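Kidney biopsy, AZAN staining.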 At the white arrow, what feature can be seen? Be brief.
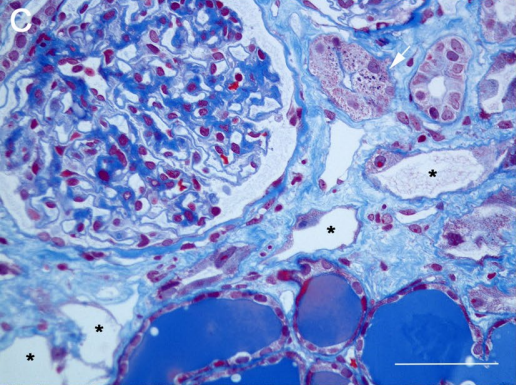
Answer: Granular particles.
